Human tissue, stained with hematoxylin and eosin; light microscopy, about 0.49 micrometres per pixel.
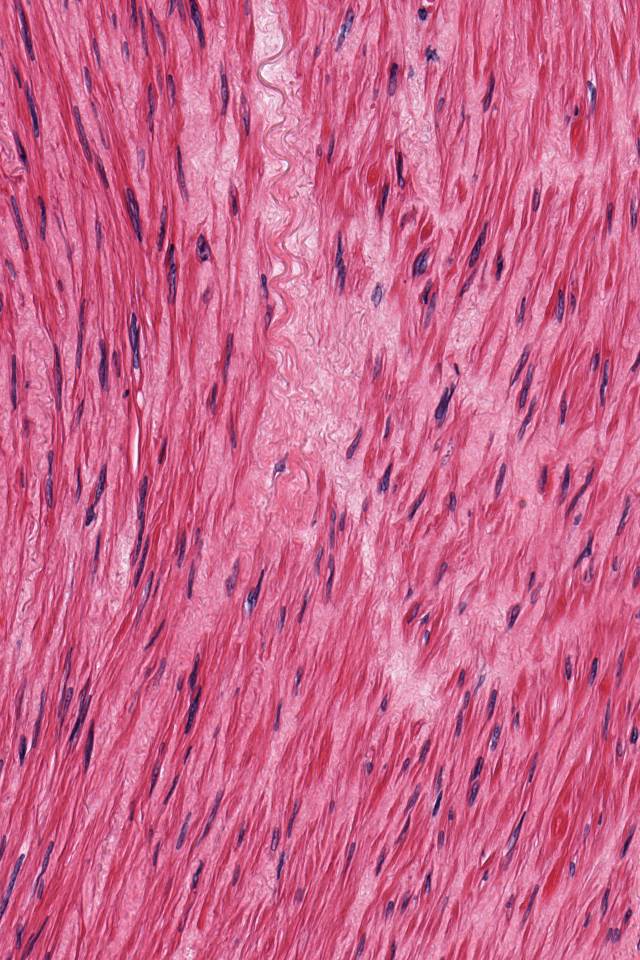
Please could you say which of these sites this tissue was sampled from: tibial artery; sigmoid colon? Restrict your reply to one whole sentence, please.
This tissue was harvested from the tibial artery.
